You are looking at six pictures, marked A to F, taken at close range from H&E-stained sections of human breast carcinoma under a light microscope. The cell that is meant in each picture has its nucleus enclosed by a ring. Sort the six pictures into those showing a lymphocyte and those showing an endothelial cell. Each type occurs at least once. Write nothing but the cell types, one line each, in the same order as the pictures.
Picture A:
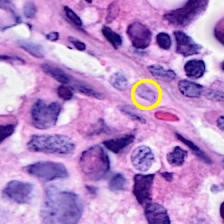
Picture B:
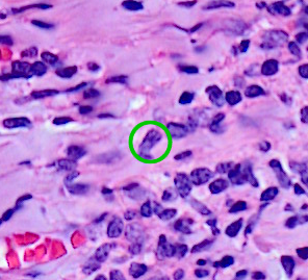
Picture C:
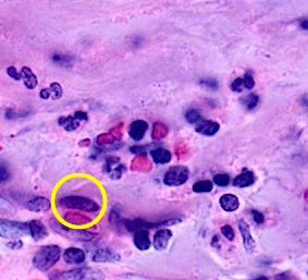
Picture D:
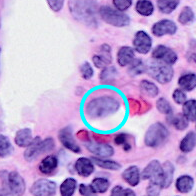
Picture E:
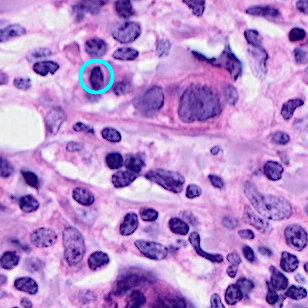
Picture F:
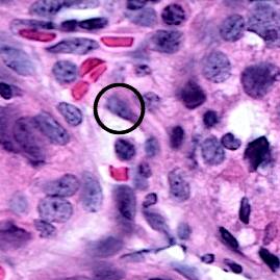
endothelial cell
lymphocyte
endothelial cell
endothelial cell
lymphocyte
endothelial cell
